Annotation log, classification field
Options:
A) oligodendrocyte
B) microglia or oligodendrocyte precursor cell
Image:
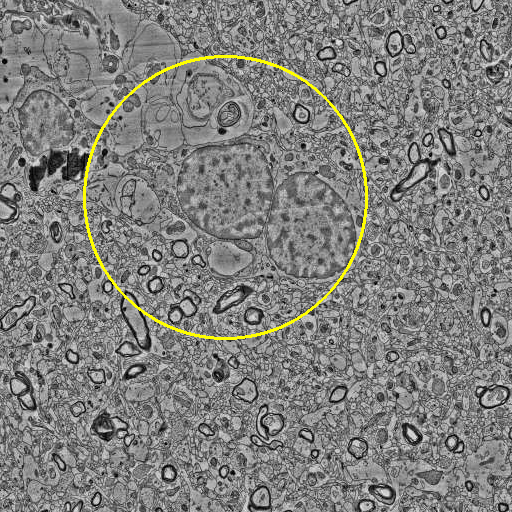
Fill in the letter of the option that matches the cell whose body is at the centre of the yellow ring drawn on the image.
A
